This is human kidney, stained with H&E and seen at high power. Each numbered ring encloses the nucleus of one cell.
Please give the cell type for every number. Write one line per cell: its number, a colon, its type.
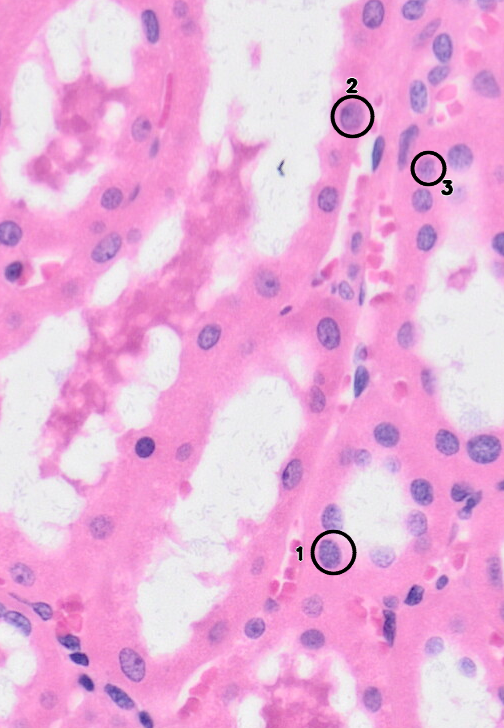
1: loop of Henle or distal tubule cell
2: proximal tubule cell
3: loop of Henle or distal tubule cell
